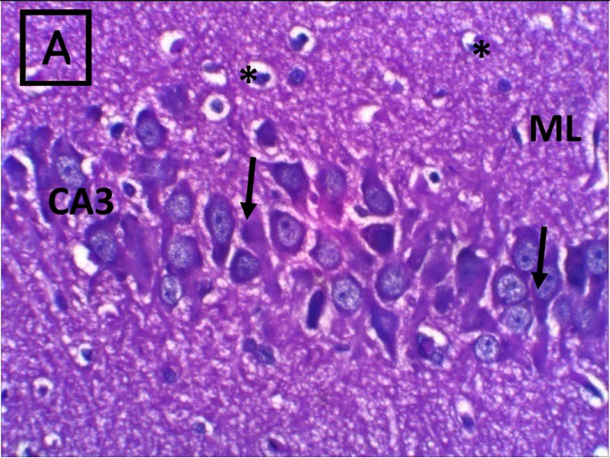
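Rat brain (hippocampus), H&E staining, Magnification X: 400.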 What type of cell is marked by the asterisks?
Glial cells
